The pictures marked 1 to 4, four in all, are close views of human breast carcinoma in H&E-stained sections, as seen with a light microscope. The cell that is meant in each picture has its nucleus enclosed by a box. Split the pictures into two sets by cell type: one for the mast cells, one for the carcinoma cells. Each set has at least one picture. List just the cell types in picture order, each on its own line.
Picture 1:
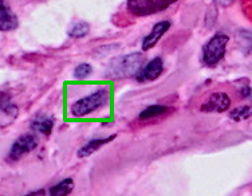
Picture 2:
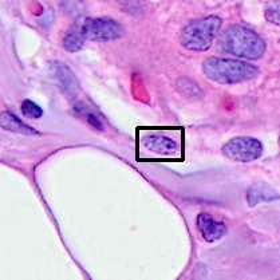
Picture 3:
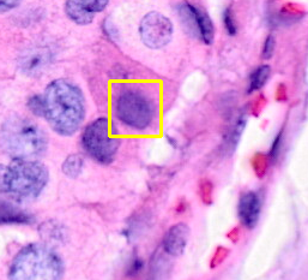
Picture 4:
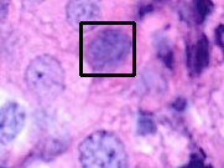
mast cell
mast cell
carcinoma cell
carcinoma cell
